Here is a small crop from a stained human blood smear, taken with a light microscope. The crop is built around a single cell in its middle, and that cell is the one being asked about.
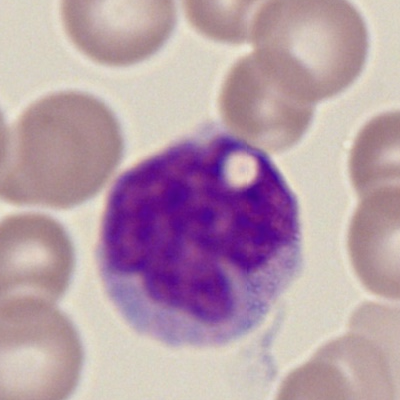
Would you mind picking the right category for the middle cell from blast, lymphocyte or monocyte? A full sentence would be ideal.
Framed in the middle of the crop is a monocyte.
